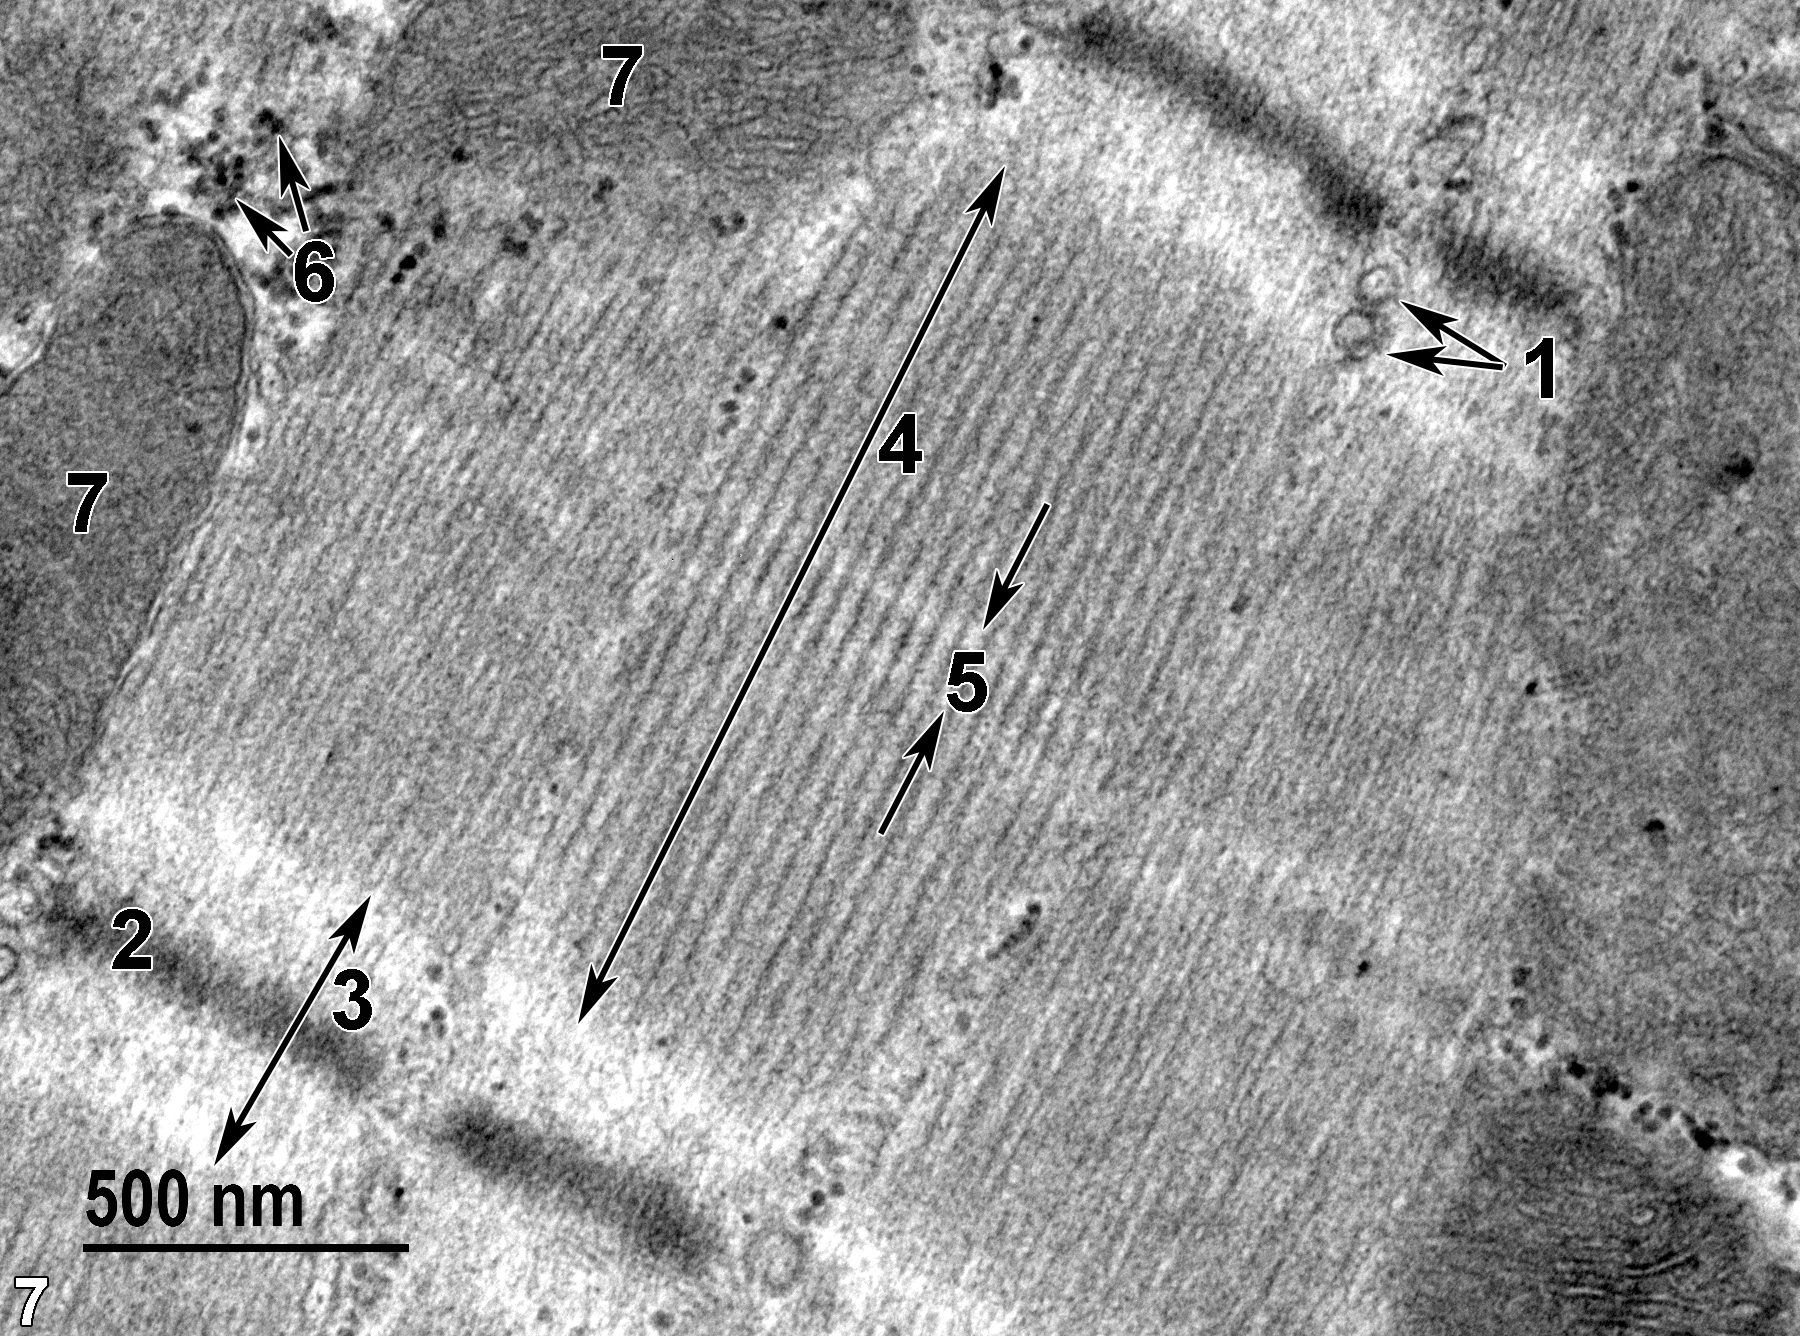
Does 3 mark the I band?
Yes, 3 marks the I band.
